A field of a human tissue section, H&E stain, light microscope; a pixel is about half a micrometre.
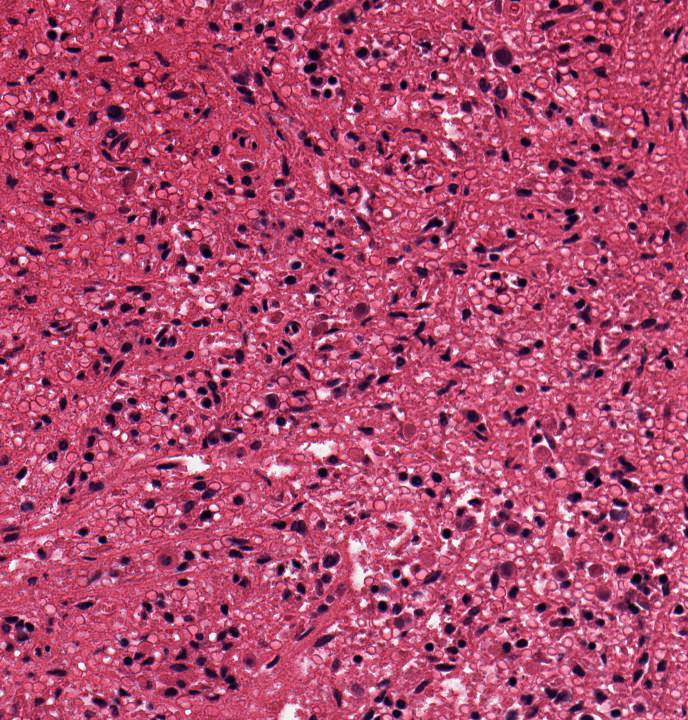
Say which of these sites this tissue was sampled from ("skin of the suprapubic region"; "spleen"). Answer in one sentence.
The site this tissue was sampled from is the spleen.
